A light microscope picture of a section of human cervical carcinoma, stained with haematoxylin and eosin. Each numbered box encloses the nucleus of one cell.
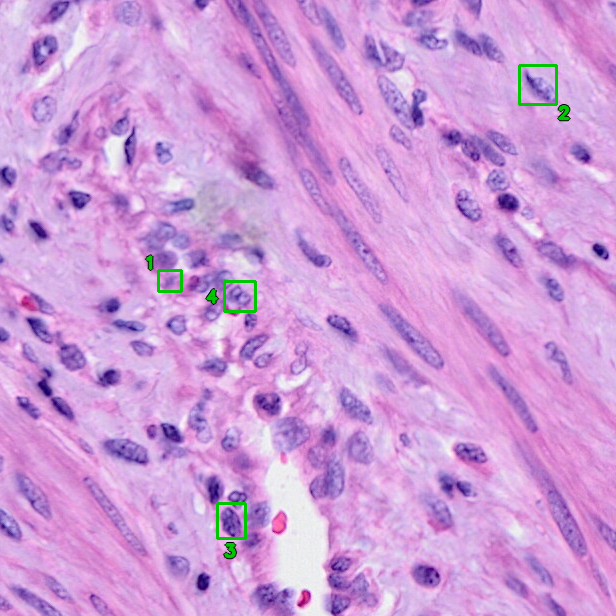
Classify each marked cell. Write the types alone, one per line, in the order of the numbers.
endothelial cell
fibroblast
lymphocyte
endothelial cell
